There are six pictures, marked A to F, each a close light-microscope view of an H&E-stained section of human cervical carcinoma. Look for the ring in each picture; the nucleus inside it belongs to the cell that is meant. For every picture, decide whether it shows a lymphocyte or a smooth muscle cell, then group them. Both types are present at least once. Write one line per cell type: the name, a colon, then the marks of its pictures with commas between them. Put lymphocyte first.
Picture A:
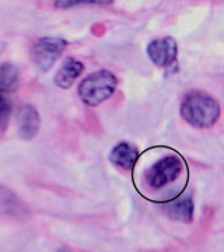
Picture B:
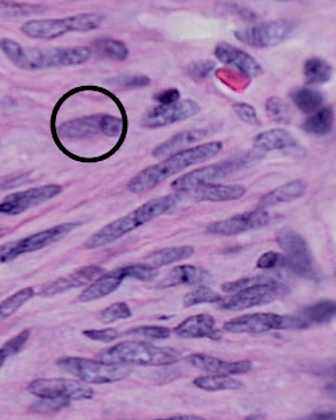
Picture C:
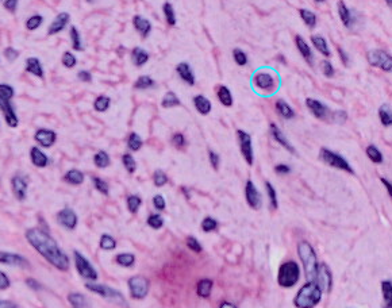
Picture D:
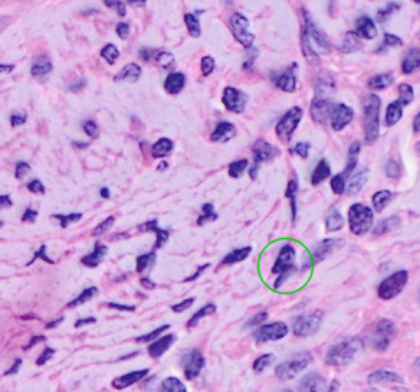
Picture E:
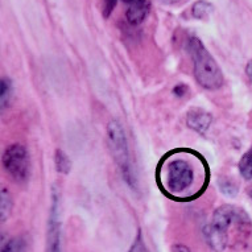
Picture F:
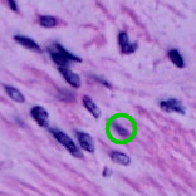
lymphocyte: A, D, E
smooth muscle cell: B, C, F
